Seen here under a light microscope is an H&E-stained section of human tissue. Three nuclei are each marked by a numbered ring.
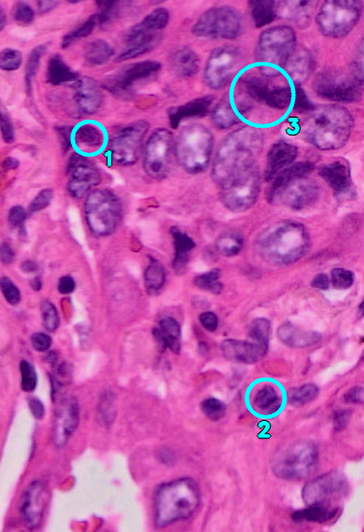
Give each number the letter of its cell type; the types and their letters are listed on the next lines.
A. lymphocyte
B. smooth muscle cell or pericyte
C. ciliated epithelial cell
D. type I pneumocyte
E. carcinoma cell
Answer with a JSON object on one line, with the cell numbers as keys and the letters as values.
{"1": "E", "2": "A", "3": "E"}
